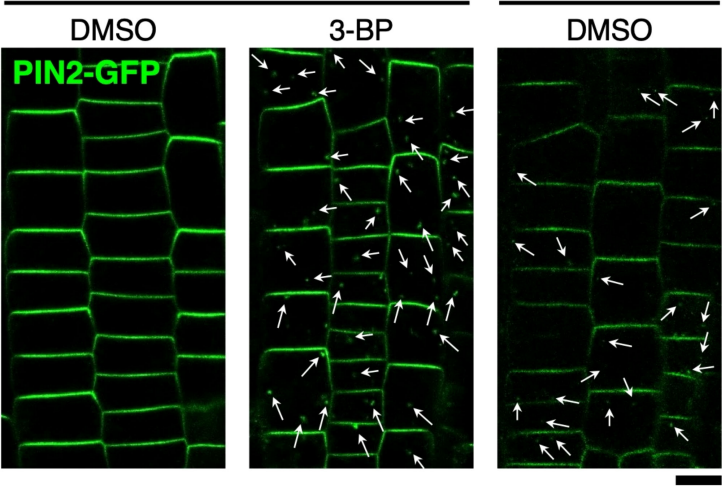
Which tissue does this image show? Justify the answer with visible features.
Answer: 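Rectangular cells stacked in parallel longitudinal files. Boxy cell outlines typical of a plant root.
Roots.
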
